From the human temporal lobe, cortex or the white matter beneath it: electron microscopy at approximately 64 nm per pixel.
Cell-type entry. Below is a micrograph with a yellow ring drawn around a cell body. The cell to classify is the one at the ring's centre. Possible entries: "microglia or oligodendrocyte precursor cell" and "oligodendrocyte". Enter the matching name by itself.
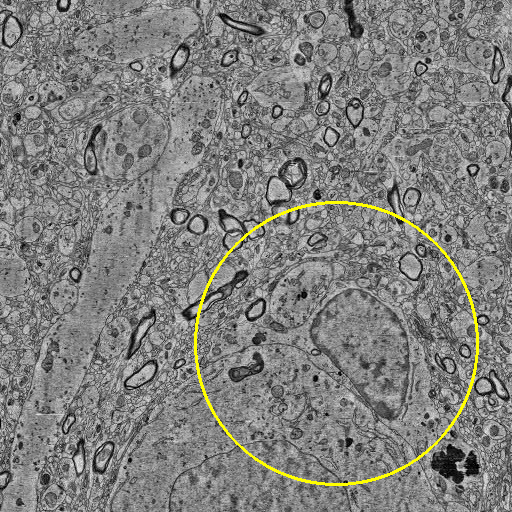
microglia or oligodendrocyte precursor cell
